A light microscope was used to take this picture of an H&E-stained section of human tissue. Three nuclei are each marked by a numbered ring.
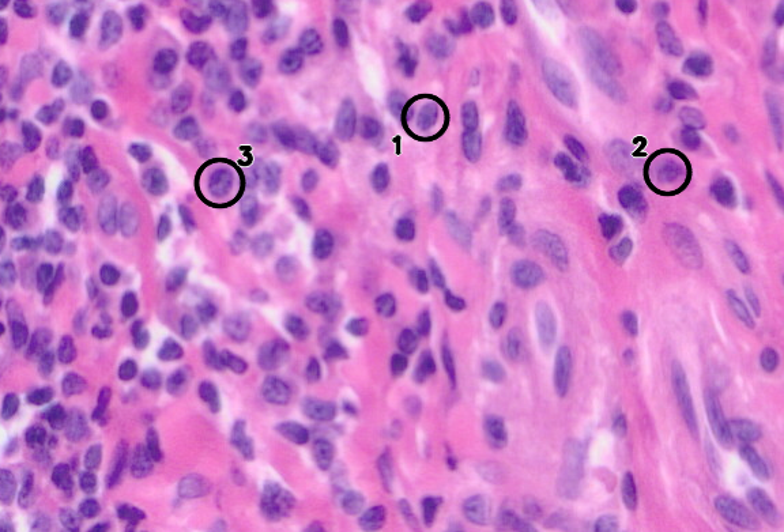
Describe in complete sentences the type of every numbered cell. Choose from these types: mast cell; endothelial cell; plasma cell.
Cell 1 is a mast cell. Cell 2 is an endothelial cell. Cell 3 is a plasma cell.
